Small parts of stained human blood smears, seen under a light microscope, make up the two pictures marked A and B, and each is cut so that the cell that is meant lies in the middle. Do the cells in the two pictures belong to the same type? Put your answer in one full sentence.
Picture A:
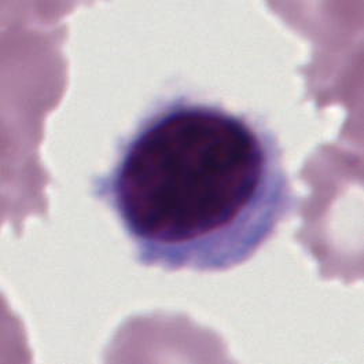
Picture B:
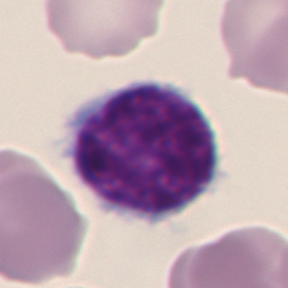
Yes, both cells are hairy cells.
